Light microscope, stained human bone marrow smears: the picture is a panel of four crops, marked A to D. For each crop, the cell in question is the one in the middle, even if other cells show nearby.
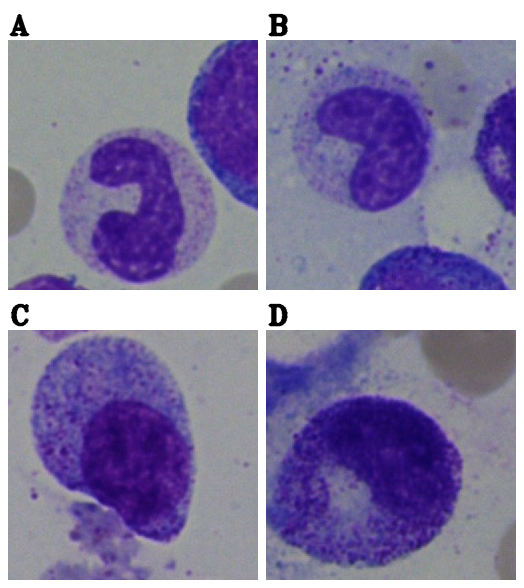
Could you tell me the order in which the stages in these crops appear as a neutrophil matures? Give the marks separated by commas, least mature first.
C, D, B, A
